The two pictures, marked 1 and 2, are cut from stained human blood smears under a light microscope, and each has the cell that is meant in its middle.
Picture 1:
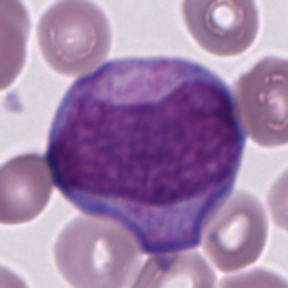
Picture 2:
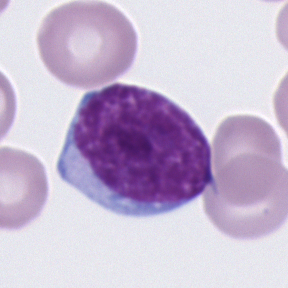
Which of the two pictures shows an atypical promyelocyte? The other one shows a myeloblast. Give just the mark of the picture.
1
